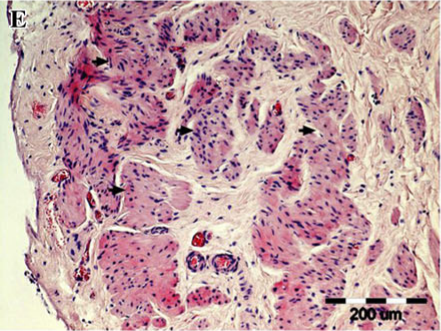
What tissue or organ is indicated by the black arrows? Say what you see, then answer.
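Smooth muscles. Arrows point to pink bundles of cells separated by pale connective tissue. Bundles contain many small elongated or round nuclei.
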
